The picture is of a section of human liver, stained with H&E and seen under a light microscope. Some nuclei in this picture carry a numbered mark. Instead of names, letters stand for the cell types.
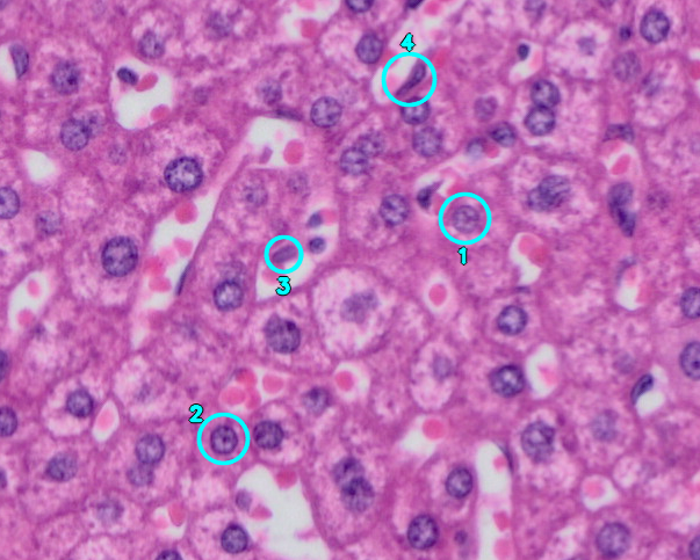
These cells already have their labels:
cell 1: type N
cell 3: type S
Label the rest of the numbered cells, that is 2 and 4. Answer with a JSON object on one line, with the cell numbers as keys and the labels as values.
{"2": "type N", "4": "type S"}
